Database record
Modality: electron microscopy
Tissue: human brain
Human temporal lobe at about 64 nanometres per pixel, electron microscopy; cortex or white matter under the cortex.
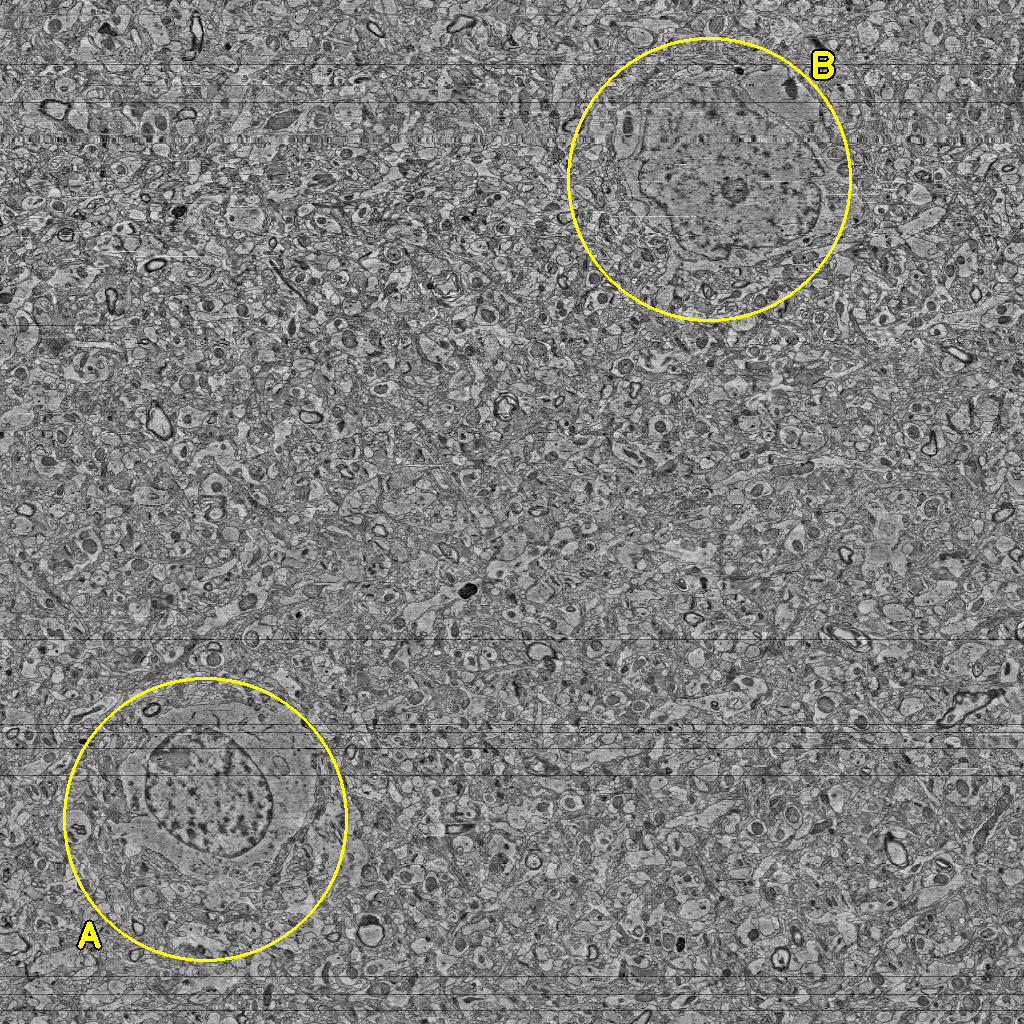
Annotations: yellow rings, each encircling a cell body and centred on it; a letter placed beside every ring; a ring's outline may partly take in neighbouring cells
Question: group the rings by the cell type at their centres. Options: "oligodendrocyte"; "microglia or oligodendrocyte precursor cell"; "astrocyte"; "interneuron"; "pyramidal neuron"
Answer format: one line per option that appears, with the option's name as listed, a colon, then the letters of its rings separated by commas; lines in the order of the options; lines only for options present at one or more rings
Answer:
astrocyte: A
interneuron: B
